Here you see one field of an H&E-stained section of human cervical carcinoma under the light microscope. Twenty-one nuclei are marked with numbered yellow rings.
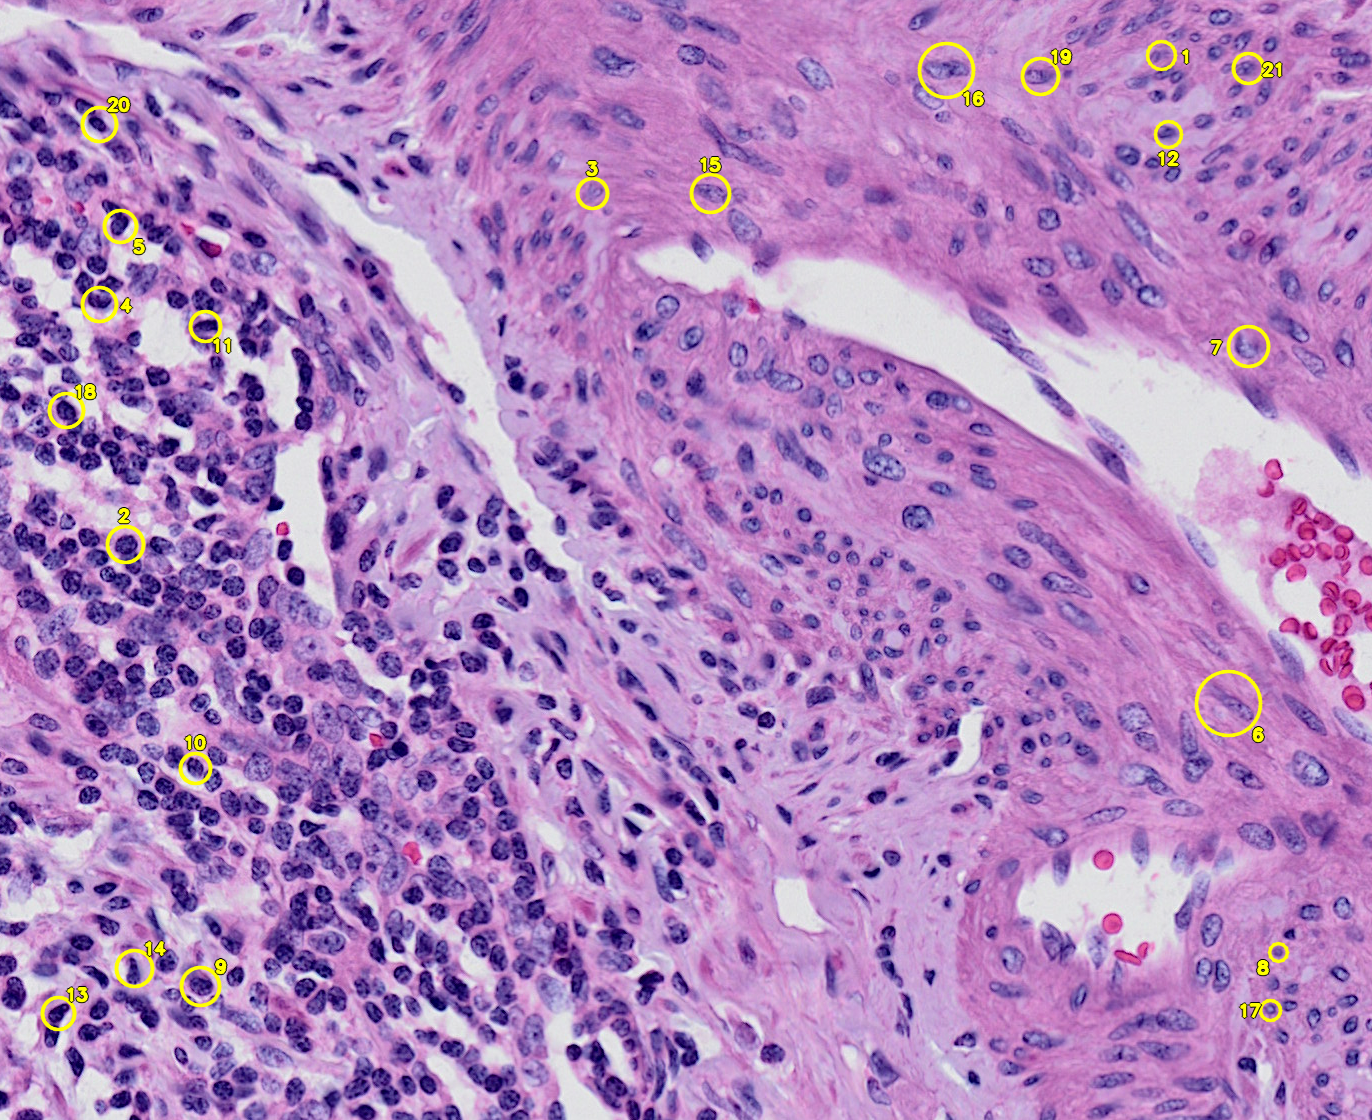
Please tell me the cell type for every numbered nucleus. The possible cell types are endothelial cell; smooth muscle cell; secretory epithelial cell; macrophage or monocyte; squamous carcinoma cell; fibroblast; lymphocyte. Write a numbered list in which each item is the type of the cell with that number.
1. smooth muscle cell
2. lymphocyte
3. smooth muscle cell
4. lymphocyte
5. lymphocyte
6. smooth muscle cell
7. smooth muscle cell
8. smooth muscle cell
9. lymphocyte
10. lymphocyte
11. lymphocyte
12. smooth muscle cell
13. lymphocyte
14. lymphocyte
15. smooth muscle cell
16. smooth muscle cell
17. smooth muscle cell
18. lymphocyte
19. smooth muscle cell
20. lymphocyte
21. smooth muscle cell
